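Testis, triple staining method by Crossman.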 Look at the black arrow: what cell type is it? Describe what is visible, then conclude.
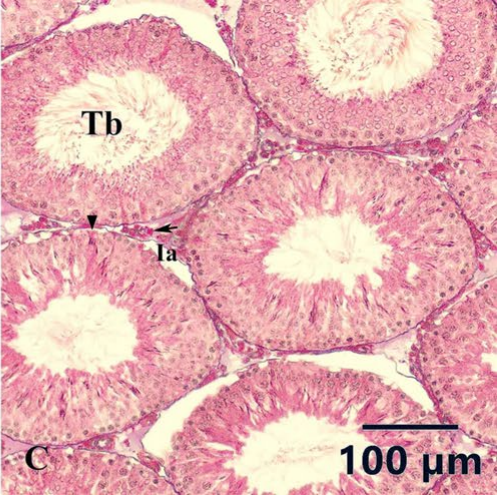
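The arrow points to cells in the narrow space between adjoining tubules. These cells lie outside the tubule walls. The answer: Leydig cells.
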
